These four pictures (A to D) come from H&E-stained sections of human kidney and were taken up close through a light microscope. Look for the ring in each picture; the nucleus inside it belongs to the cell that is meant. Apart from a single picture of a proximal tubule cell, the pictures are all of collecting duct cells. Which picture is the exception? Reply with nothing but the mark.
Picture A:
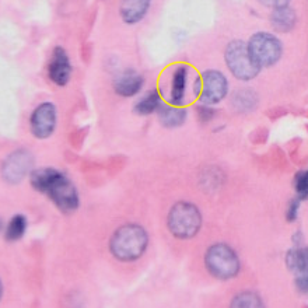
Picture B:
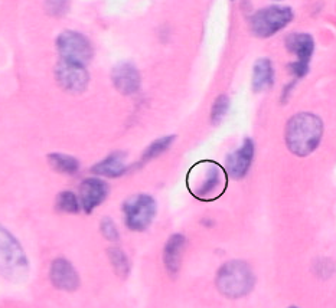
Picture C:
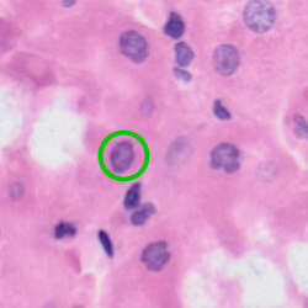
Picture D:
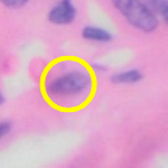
C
